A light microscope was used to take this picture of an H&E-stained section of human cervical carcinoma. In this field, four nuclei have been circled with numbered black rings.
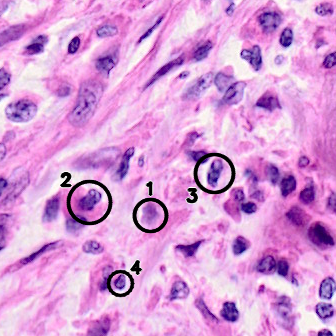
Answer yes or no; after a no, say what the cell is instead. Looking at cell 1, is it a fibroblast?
Yes.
